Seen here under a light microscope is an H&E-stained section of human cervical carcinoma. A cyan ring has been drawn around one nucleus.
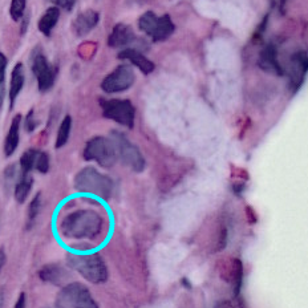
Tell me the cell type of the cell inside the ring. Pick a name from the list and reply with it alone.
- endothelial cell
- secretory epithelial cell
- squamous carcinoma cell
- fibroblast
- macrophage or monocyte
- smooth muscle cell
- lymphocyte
secretory epithelial cell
